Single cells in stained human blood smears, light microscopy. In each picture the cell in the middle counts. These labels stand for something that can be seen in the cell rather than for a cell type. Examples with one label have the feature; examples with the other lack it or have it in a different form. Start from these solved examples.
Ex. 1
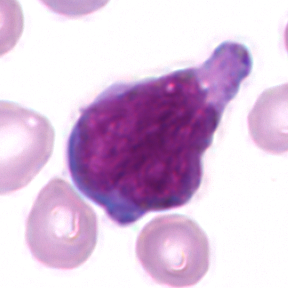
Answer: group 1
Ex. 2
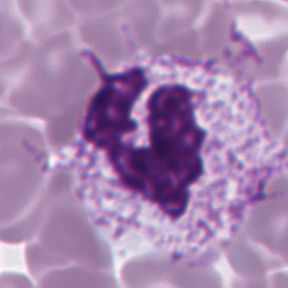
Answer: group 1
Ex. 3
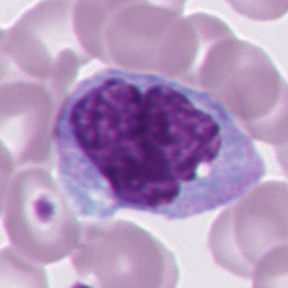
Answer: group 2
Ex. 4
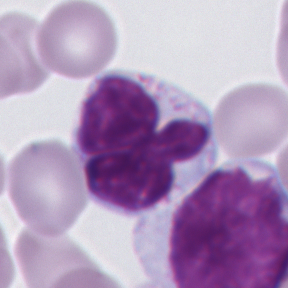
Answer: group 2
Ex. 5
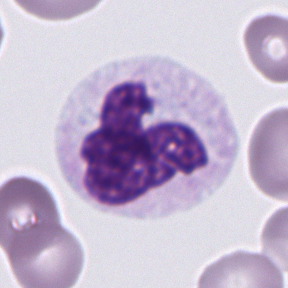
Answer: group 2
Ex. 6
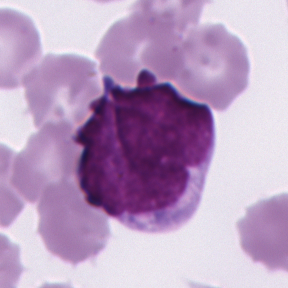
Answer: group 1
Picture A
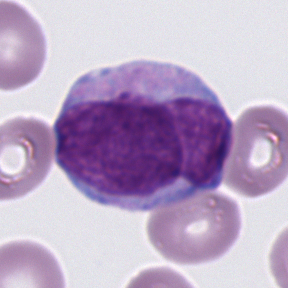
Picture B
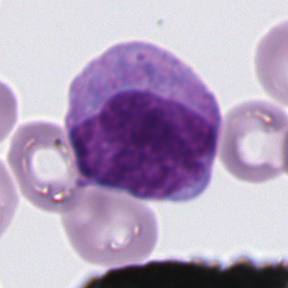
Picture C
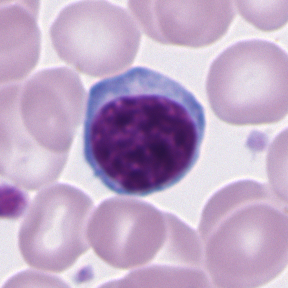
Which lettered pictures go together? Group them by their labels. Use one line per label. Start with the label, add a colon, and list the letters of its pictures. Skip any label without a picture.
group 2: A, B, C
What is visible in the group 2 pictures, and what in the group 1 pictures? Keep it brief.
In group 2: smooth outline. In group 1: ragged outline or projections.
